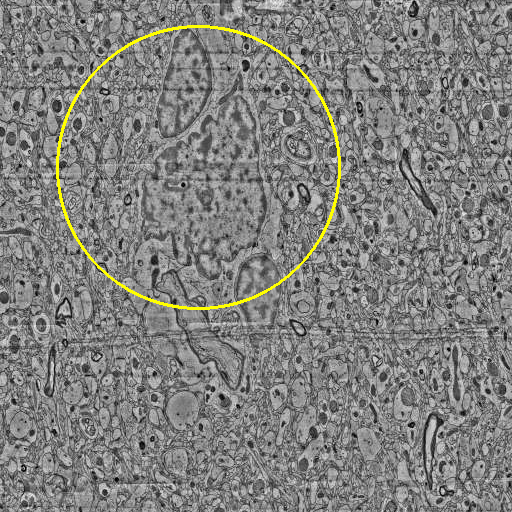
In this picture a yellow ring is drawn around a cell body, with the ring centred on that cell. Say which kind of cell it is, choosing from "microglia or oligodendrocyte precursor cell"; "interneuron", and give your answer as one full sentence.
Here it is a microglial cell or oligodendrocyte precursor cell that sits at the centre of the drawn yellow ring.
